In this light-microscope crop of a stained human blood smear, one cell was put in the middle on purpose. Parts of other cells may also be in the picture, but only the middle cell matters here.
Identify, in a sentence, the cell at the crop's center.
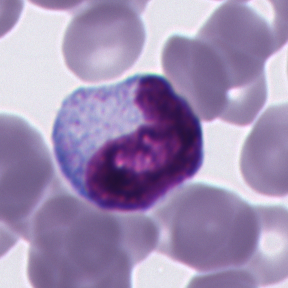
The identification for the central cell is a lymphocyte.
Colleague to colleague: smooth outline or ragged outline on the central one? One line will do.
There are no projections here; the outline is simply smooth.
